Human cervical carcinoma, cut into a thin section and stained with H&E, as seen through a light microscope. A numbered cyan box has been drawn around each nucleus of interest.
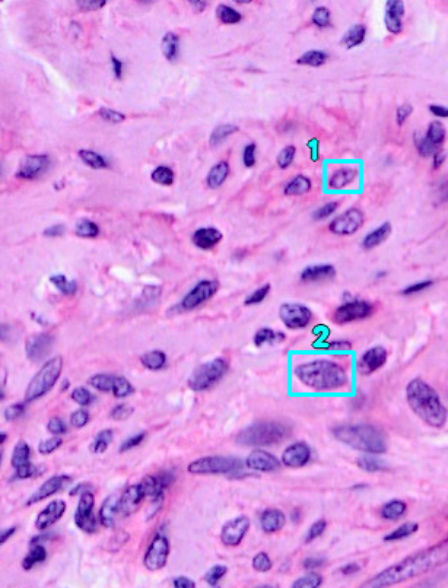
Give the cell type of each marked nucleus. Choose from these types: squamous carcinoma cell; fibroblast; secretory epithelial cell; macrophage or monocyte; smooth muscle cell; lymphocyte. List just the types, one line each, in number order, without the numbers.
smooth muscle cell
fibroblast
